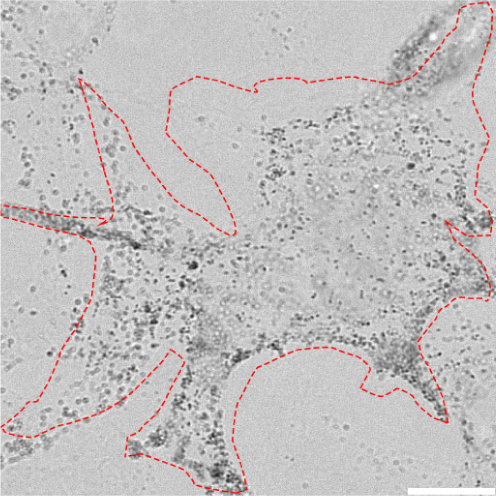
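This is a bright-field view of a cultured melanocyte, its edge traced by a red dashed line. The cell is large and flattened, with several broad and long branching extensions reaching outward. Small dark pigment granules, the melanosomes, are scattered throughout the cytoplasm, from the central region out into the extensions and along the cell margins, rather than being gathered in one place. Neighbouring cells at the corners of the field also carry scattered dark granules. The background between cells is pale and finely textured.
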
